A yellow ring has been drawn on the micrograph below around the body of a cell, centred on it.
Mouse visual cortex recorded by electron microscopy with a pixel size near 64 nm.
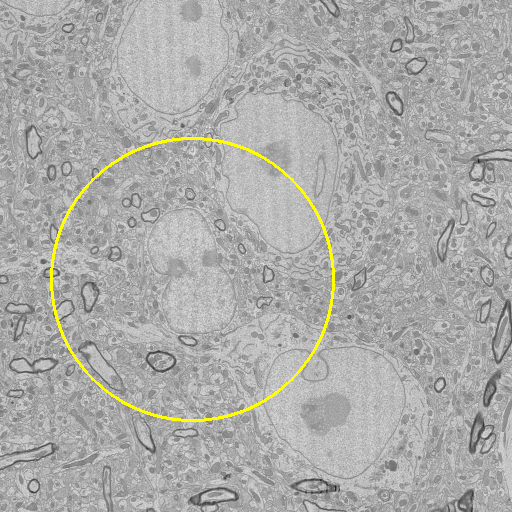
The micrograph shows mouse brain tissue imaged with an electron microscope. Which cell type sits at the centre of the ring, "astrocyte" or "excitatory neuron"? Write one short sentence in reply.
The cell sitting at the centre of the ring is an astrocyte.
